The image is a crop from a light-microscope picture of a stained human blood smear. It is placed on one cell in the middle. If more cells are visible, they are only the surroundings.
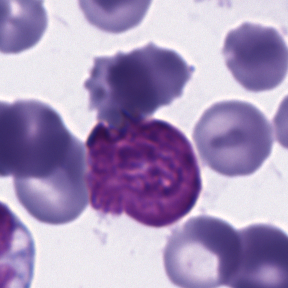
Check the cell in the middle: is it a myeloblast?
no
